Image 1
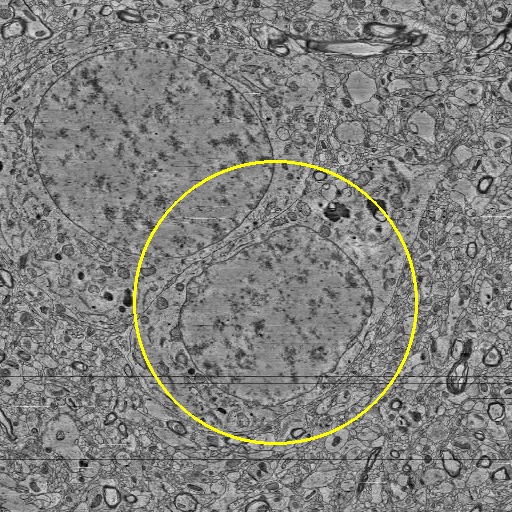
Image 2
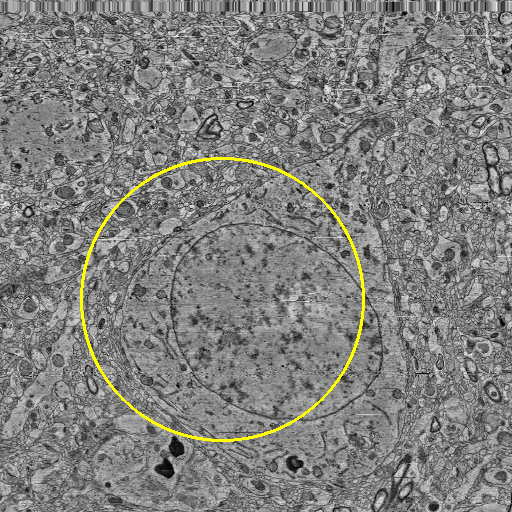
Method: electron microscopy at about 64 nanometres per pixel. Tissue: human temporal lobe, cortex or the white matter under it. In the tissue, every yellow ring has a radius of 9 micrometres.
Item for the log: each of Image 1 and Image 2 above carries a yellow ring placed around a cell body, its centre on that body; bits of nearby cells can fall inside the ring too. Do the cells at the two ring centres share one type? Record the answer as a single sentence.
Yes, the two cells at the ring centres in Image 1 and Image 2 share one type.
